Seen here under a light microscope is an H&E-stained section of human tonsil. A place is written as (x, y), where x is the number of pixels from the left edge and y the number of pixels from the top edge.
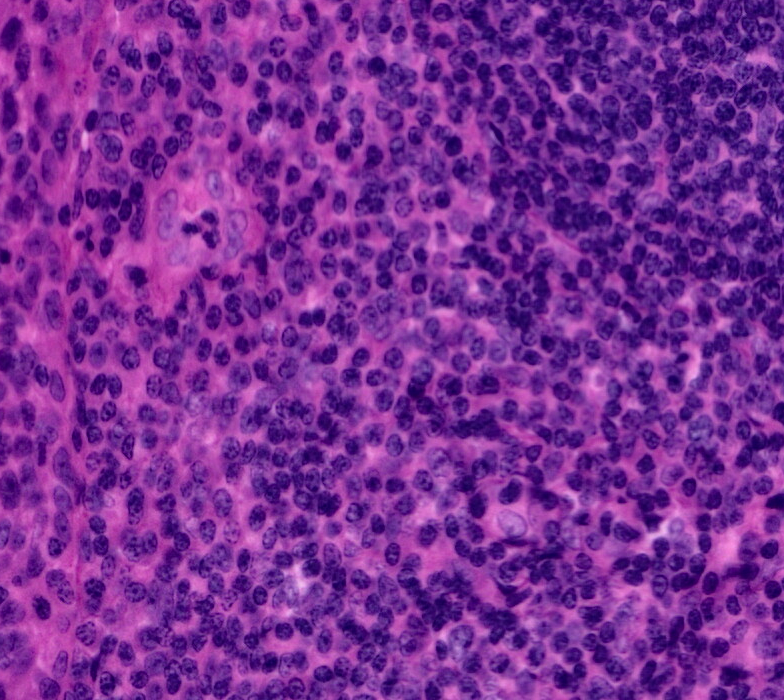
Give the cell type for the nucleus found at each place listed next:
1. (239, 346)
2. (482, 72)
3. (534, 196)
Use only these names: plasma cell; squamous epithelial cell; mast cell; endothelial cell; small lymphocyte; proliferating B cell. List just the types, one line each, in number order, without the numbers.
plasma cell
small lymphocyte
small lymphocyte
